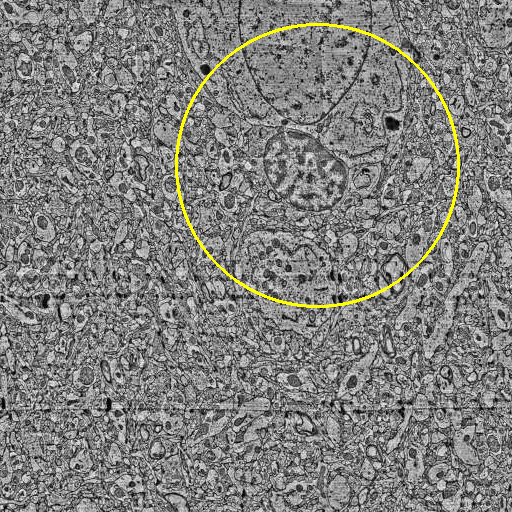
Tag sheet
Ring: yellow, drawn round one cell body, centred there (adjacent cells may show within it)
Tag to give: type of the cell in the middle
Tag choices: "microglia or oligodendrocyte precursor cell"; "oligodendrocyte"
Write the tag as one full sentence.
I tag the cell centred in the yellow ring as an oligodendrocyte in this picture.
